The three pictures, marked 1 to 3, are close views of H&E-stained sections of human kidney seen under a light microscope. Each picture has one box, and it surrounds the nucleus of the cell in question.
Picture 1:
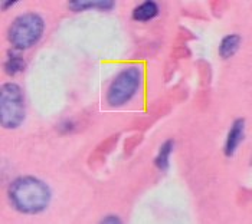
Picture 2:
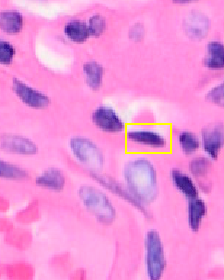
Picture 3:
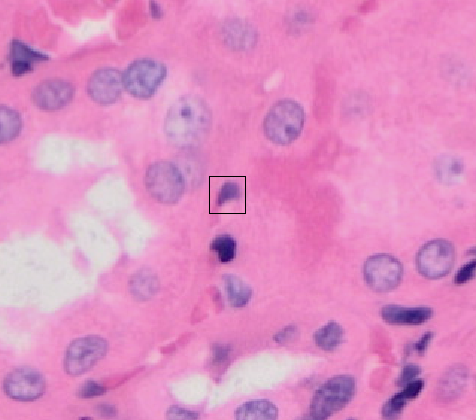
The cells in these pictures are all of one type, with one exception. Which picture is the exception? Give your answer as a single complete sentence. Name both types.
All pictures except 1 show endothelial cells; picture 1 shows a “loop of Henle or distal tubule cell”.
